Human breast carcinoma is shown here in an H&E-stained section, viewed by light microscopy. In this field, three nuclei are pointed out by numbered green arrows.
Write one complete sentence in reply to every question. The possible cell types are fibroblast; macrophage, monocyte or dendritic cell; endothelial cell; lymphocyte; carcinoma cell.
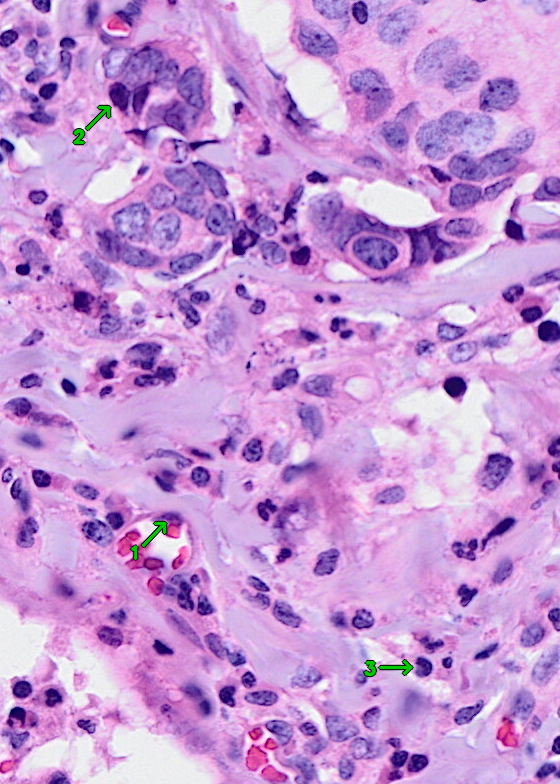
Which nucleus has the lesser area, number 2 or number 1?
It is nucleus 1; nucleus 2 has about 2.5 times its area.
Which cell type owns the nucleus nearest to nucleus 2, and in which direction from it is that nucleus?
The closest nucleus belongs to a carcinoma cell and sits to the right of nucleus 2.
